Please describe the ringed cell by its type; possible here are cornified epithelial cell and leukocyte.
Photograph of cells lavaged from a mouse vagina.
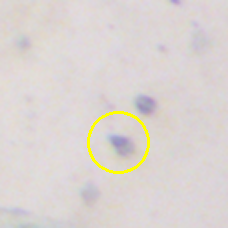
The yellow ring marks a leukocyte.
